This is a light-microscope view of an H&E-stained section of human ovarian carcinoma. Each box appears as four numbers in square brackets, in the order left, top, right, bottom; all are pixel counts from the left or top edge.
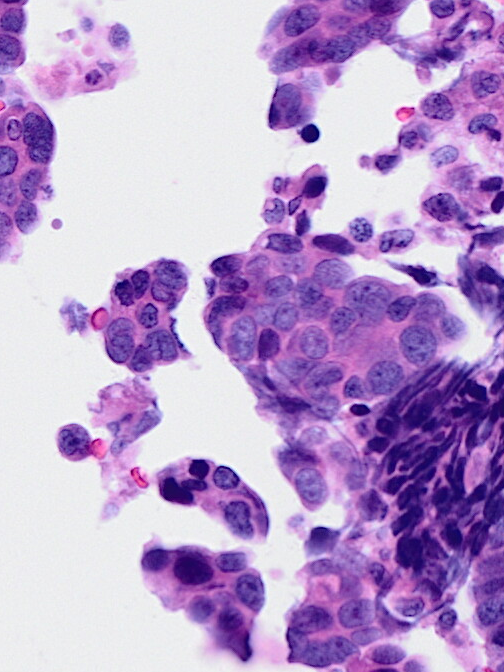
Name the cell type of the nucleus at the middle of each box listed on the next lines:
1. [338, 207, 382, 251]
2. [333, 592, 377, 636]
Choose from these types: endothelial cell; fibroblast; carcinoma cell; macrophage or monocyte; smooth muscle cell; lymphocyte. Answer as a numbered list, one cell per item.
1. macrophage or monocyte
2. carcinoma cell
